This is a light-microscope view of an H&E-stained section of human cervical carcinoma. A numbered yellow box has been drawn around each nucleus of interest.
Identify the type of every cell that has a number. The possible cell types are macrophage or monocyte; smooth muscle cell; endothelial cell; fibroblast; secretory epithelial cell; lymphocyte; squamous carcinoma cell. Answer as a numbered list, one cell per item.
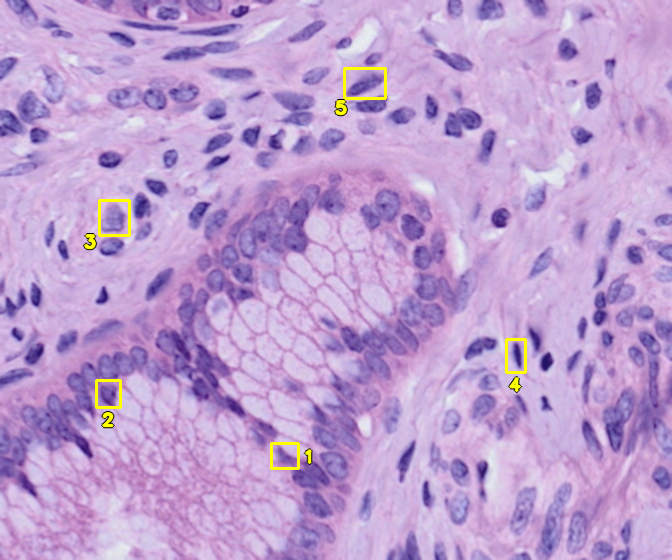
1. secretory epithelial cell
2. secretory epithelial cell
3. endothelial cell
4. fibroblast
5. fibroblast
